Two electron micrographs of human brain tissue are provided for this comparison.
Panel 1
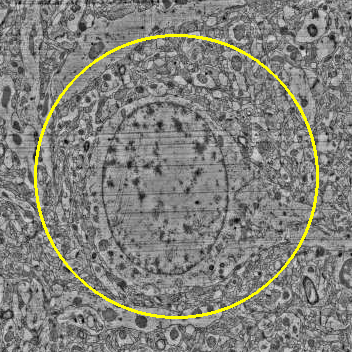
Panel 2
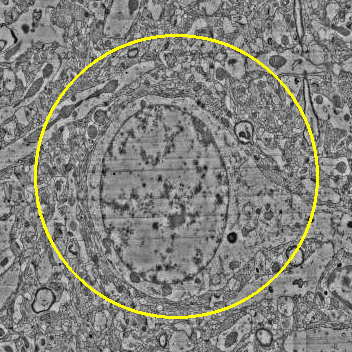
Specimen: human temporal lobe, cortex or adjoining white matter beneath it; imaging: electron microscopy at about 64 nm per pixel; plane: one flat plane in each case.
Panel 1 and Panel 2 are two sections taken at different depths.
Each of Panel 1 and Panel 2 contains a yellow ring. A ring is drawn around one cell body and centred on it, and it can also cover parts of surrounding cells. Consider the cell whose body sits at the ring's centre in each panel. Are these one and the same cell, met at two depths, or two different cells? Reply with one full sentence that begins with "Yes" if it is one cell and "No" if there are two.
Yes, both yellow rings mark one and the same cell.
